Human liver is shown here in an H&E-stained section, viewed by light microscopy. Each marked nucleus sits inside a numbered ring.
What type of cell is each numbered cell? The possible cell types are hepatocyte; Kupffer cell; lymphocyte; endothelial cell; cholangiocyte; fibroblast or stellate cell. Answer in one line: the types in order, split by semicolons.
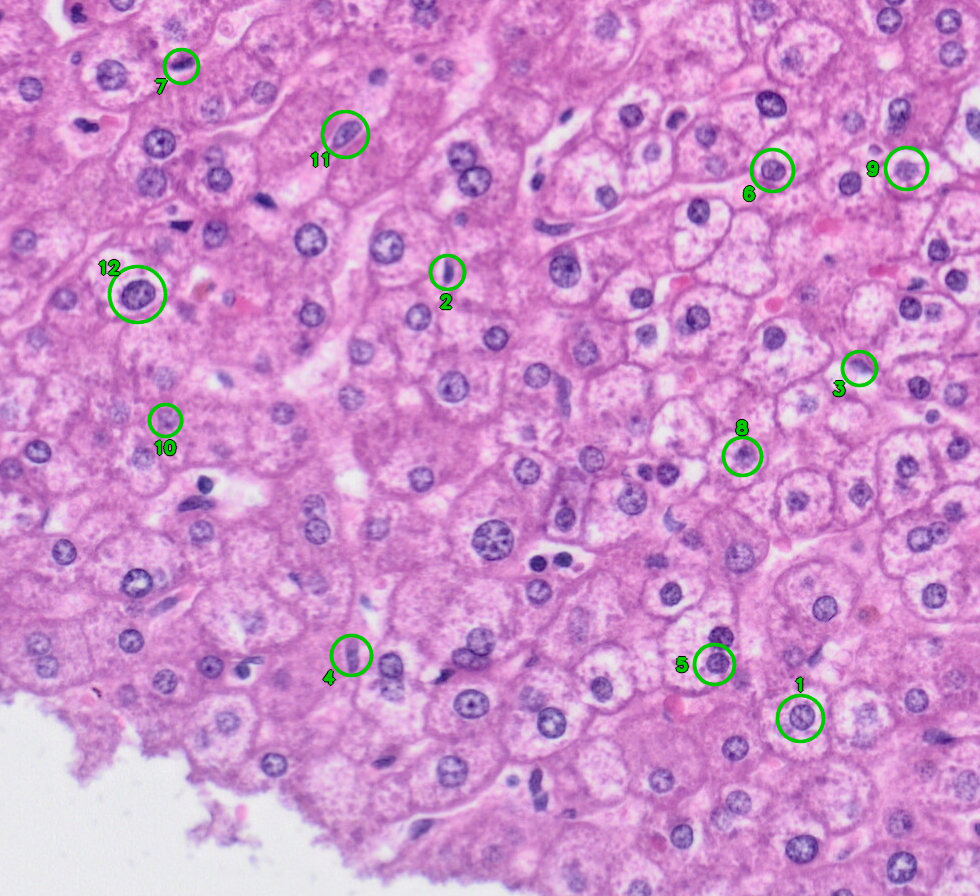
hepatocyte; lymphocyte; endothelial cell; Kupffer cell; hepatocyte; hepatocyte; endothelial cell; hepatocyte; hepatocyte; hepatocyte; Kupffer cell; hepatocyte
